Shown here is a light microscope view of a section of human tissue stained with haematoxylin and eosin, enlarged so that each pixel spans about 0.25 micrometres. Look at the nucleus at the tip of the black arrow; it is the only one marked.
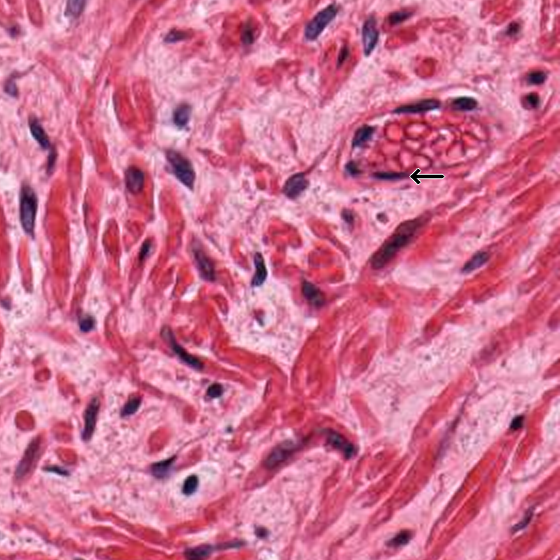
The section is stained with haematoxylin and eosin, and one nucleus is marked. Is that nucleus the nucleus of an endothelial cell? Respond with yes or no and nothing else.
yes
